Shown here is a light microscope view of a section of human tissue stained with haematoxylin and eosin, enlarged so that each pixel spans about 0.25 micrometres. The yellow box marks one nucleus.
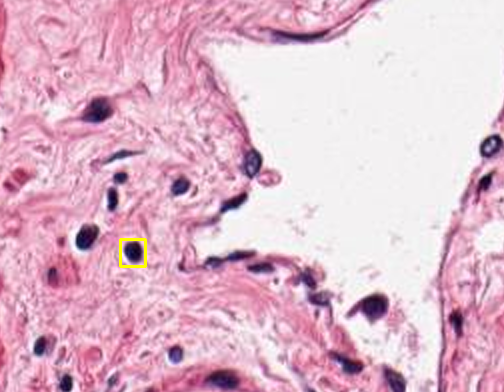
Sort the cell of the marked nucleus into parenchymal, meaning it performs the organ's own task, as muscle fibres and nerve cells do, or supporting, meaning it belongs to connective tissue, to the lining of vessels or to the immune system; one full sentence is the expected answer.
Lying in a supporting cell is the marked nucleus.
